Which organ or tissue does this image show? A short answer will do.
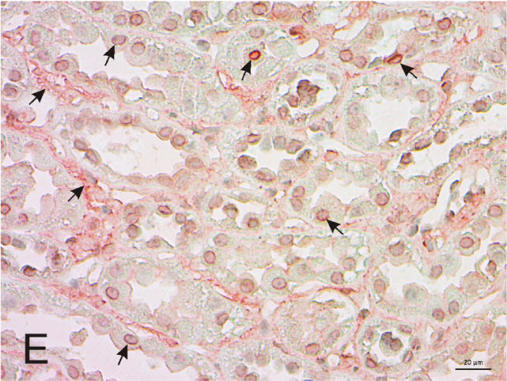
kidney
